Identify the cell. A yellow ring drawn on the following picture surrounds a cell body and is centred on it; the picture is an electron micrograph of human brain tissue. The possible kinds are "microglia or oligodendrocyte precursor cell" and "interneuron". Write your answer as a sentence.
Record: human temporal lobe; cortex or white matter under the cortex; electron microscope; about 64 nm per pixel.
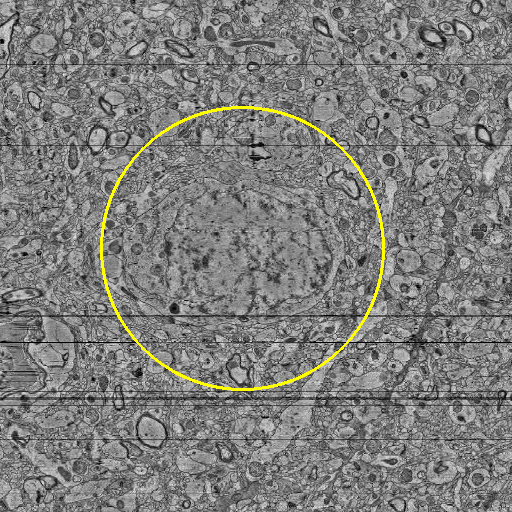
The cell identified by the ring is an interneuron.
